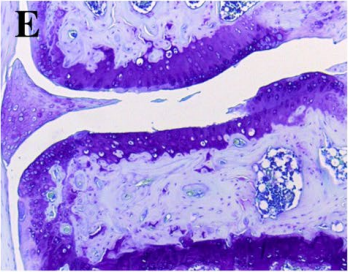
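Articular cartilage of two opposing bone ends across a joint space is shown, the cartilage matrix stained deep purple. Chondrocytes sit in lacunae within the purple matrix, which is more intensely stained in its deeper zone. Beneath the cartilage lie pale blue subchondral bone and marrow spaces containing dark blue cells.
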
